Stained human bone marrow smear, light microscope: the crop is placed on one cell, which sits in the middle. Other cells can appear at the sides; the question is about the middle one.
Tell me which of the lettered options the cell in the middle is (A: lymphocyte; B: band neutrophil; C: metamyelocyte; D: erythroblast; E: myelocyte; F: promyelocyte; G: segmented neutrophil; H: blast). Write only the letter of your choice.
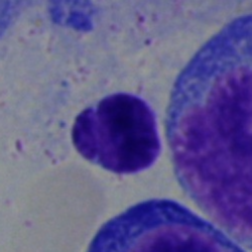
A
